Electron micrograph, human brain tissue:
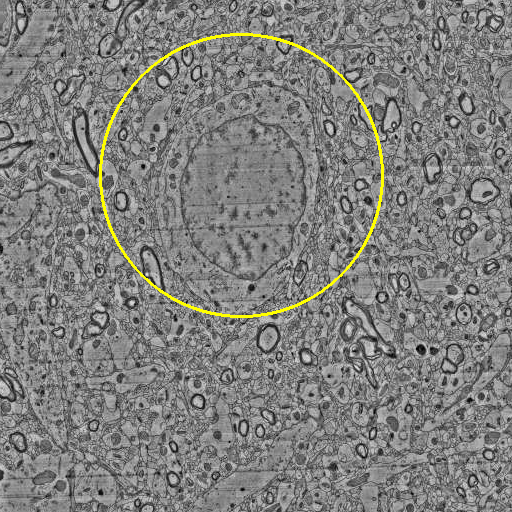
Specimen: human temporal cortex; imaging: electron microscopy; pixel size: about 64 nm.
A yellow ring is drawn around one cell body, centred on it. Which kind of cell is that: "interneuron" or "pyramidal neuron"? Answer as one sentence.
It is a pyramidal neuron at the centre of the ring.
